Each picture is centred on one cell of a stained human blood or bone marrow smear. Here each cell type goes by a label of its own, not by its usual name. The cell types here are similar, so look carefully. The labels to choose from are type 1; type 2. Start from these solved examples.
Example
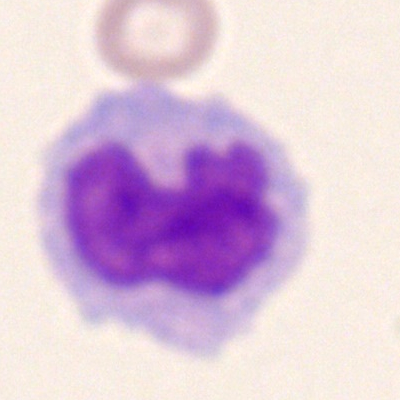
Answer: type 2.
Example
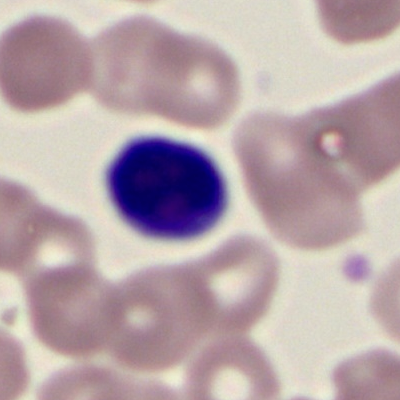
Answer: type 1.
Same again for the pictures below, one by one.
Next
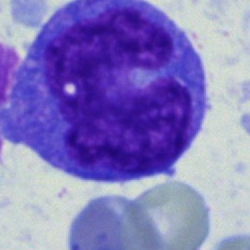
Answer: type 2.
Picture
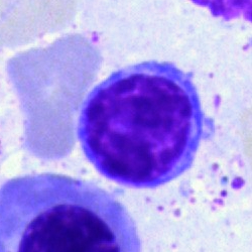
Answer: type 1.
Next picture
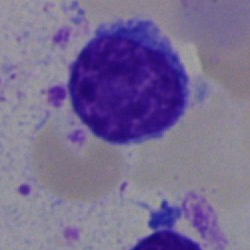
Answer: type 1.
